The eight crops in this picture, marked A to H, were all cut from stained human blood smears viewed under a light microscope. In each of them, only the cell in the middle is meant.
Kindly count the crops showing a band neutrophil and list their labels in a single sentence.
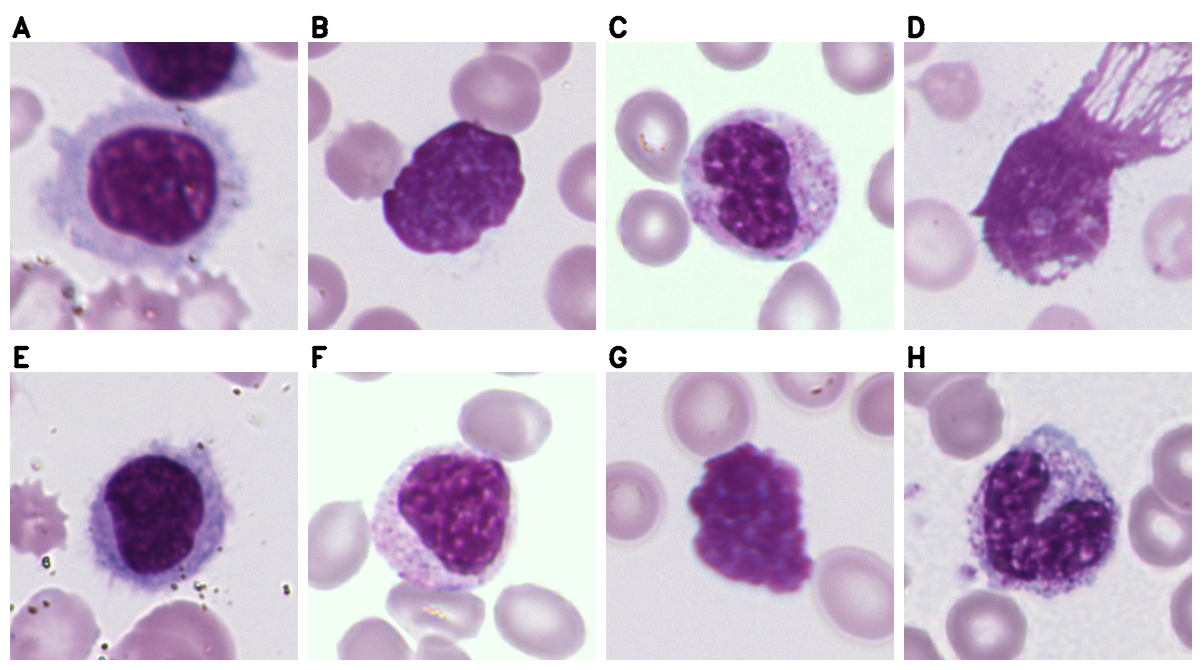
It comes to two crops with band neutrophils: C and H.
